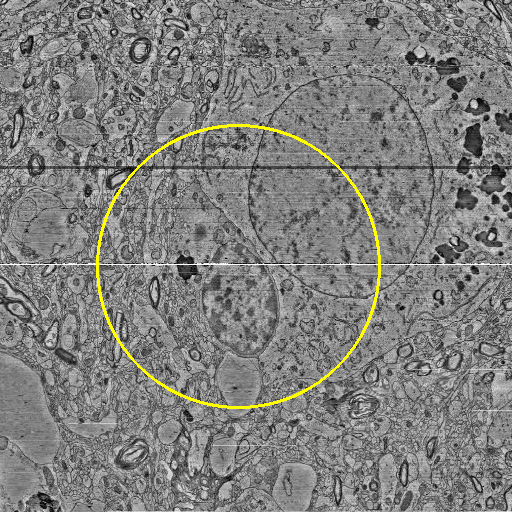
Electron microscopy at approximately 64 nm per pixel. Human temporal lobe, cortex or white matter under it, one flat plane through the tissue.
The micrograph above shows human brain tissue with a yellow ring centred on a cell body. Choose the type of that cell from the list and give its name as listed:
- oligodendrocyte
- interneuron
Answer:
oligodendrocyte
